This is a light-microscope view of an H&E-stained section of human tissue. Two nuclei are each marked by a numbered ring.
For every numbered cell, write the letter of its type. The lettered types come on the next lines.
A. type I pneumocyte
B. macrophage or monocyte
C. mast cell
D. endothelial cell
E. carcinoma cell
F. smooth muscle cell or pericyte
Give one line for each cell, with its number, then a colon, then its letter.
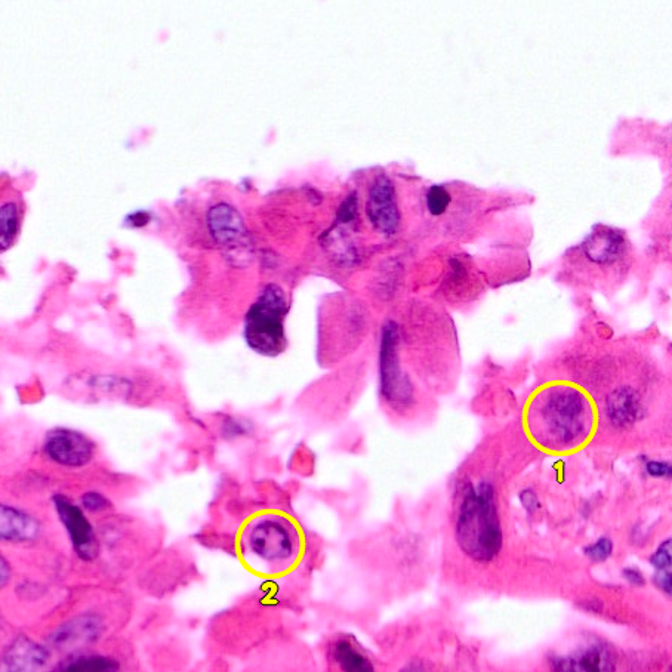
1: E
2: B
